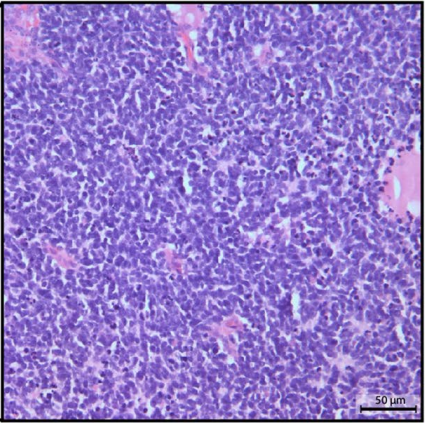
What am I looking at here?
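Tumor tissue made of diffuse sheets of densely packed small cells. The nuclei are round to oval, dark purple, and crowded, with scant surrounding cytoplasm. No rosettes or other organised cell arrangements are seen. A few small pink-stained vessels are scattered between the cells.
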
